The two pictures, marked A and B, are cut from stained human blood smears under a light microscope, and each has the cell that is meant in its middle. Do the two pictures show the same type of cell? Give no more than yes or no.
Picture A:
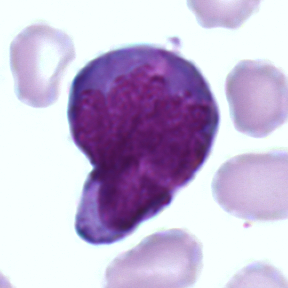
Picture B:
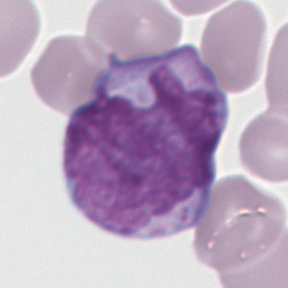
yes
